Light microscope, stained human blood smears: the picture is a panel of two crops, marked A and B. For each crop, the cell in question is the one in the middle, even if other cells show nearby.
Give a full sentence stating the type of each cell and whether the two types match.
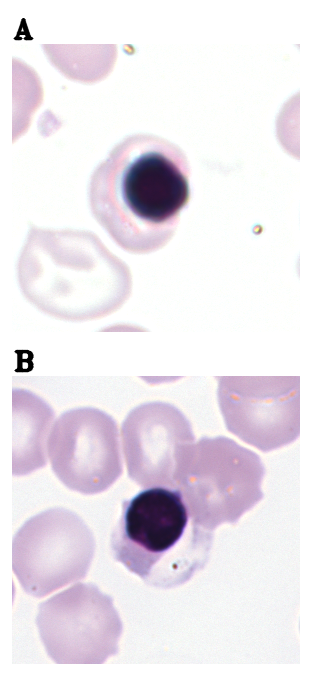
Yes, the centred cells are normoblasts in both crops.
